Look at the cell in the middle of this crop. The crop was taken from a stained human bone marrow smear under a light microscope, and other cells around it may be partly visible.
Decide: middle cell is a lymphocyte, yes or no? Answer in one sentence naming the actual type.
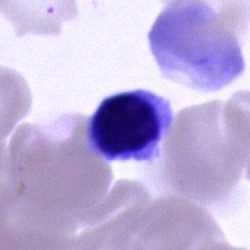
No, the cell of interest here is a normoblast and not a lymphocyte.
